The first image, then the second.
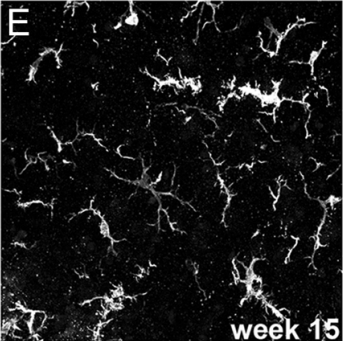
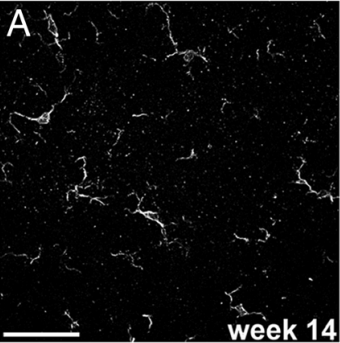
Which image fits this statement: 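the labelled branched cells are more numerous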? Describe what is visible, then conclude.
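First image: many labelled branched cells crowd the field. Second image: only a few labelled branched cells are scattered across a mostly dark field.
Conclusion: the first image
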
